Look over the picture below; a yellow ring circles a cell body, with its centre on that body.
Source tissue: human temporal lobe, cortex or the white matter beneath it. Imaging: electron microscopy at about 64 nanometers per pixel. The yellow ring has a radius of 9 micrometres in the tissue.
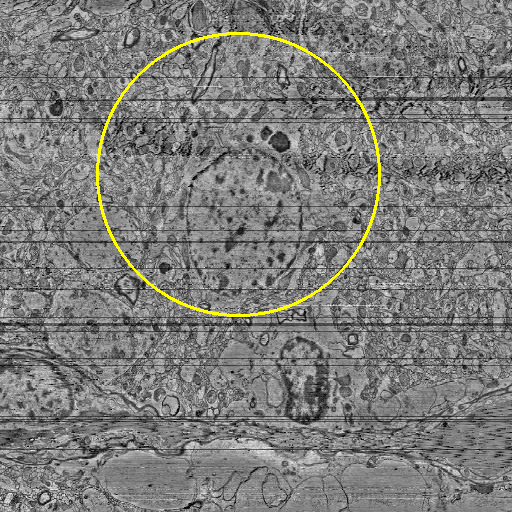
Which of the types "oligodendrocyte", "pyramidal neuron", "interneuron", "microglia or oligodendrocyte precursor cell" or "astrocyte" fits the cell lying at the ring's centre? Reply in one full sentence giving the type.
The picture shows an astrocyte at the centre of the yellow ring.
